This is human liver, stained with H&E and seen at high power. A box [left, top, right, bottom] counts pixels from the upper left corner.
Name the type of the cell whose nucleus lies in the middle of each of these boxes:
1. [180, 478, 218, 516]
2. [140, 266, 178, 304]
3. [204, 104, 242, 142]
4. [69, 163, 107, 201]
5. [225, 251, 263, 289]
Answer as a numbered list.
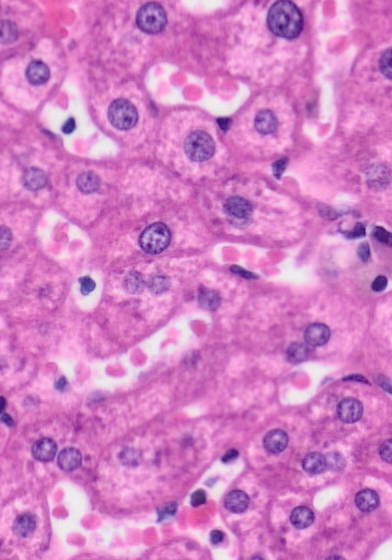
1. lymphocyte
2. hepatocyte
3. fibroblast or stellate cell
4. hepatocyte
5. endothelial cell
